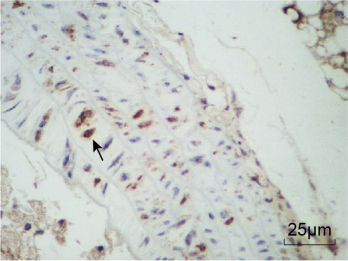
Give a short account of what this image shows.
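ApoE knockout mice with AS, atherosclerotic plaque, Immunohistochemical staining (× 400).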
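This is a section through an artery wall made of layered, elongated cells, most of them counterstained blue and only some stained brown. The cells are spindle-shaped with long, slender, oval nuclei, lined up in parallel rows separated by thin, pale, wavy bands of fibres. A number of nuclei, including the one the arrow points to, are stained dark brown, while the many neighbouring nuclei remain blue-purple and the surrounding cytoplasm is only faintly tinted. Loose, pale tissue borders the wall on one side, and a patch of brownish tissue sits at the upper right corner.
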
